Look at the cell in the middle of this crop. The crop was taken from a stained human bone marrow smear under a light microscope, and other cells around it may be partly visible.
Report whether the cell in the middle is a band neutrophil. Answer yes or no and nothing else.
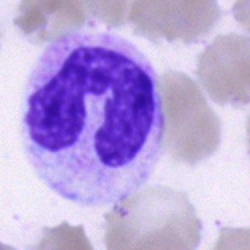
yes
